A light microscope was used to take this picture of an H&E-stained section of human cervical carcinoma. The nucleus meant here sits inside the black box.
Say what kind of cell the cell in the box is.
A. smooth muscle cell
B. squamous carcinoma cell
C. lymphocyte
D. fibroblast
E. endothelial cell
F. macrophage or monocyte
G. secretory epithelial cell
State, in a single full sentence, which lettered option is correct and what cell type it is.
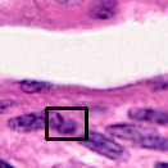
The statement that the cell in the box is a squamous carcinoma cell corresponds to option B, the correct one.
